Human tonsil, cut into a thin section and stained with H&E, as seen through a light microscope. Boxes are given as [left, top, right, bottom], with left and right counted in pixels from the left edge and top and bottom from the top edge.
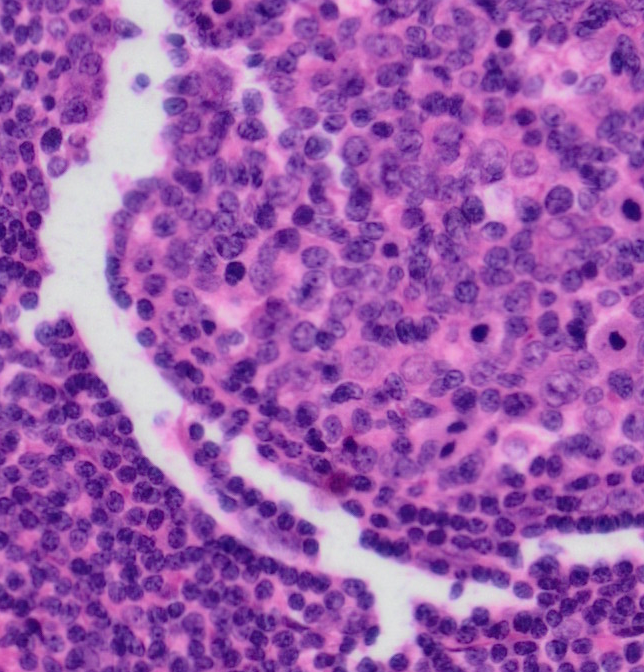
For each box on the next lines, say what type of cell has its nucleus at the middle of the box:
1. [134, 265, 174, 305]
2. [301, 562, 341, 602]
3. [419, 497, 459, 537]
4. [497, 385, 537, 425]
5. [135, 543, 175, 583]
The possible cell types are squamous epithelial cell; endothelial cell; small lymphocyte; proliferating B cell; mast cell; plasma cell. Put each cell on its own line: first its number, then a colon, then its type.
1: proliferating B cell
2: small lymphocyte
3: small lymphocyte
4: proliferating B cell
5: small lymphocyte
